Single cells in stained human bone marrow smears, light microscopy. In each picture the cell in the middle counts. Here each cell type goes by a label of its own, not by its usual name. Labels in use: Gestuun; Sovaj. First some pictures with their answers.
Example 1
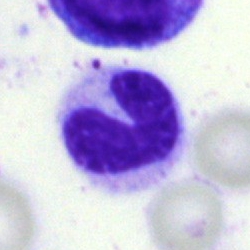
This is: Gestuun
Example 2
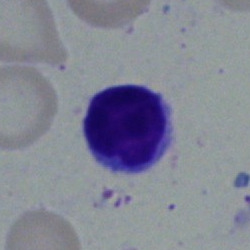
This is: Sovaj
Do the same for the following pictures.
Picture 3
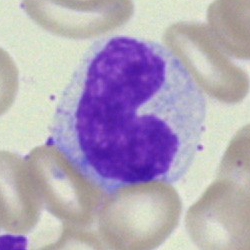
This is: Gestuun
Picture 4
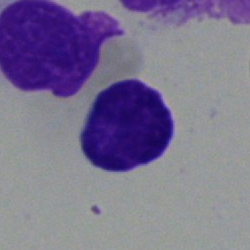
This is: Sovaj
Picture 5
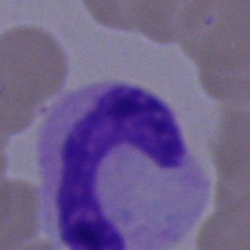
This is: Gestuun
